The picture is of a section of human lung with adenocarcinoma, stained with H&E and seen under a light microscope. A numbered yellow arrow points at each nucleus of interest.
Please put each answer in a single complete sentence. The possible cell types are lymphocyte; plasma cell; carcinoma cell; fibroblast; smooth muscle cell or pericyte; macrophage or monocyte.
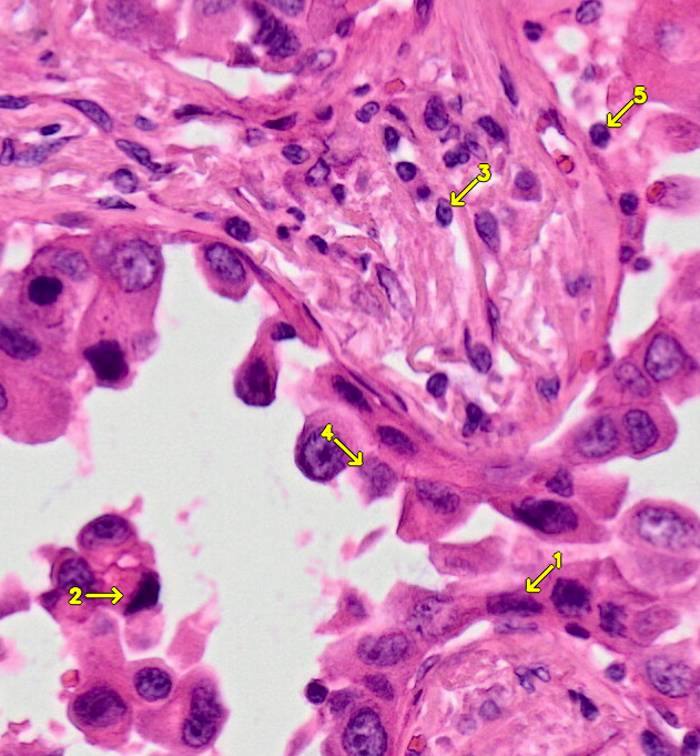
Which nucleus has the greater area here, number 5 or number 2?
Nucleus 2 is the larger one, covering about 2.5 times the area of nucleus 5.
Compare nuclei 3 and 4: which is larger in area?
Nucleus 4 is larger, with an area about 2.5 times that of nucleus 3.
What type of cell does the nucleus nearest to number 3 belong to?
Number 3 lies closest to the nucleus of a plasma cell.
